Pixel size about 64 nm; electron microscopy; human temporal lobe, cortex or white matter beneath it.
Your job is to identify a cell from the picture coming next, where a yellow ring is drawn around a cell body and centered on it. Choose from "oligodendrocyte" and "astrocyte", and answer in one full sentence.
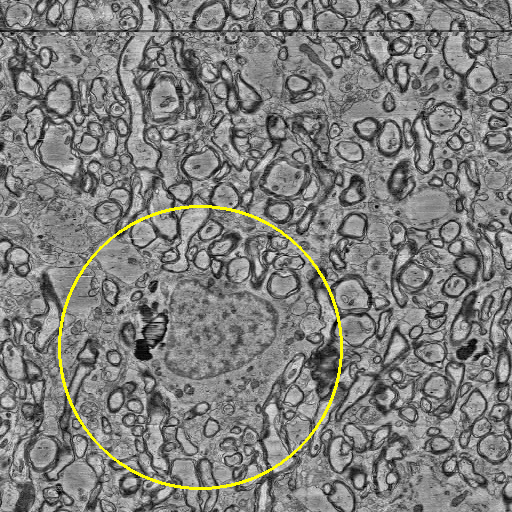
Centered in the yellow ring of the picture is the body of an oligodendrocyte.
